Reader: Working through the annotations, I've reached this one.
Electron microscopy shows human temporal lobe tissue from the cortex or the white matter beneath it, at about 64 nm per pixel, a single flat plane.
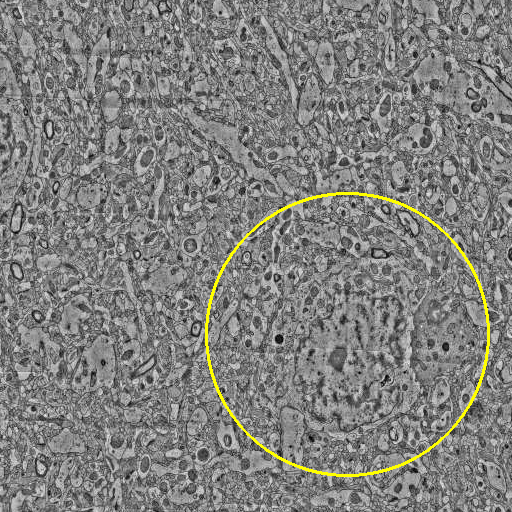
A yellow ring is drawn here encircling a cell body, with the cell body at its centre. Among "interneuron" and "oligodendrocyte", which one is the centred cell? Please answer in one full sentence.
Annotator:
The cell body at the centre of the yellow ring in this image belongs to an interneuron.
